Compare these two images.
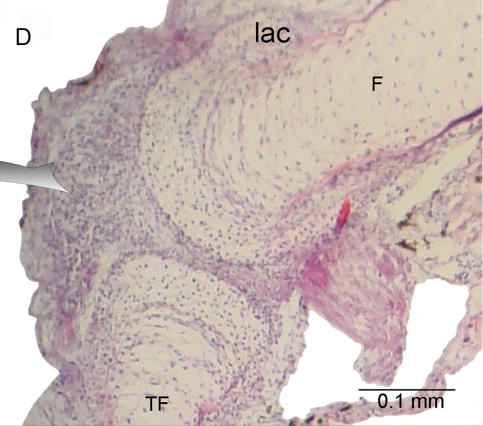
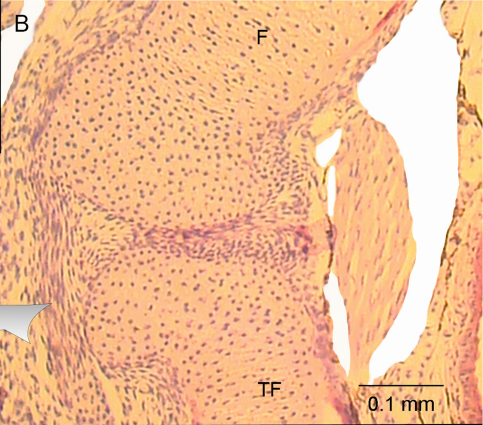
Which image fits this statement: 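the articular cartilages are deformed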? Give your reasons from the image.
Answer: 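Second image: the cartilage ends are smoothly rounded with evenly distributed cells.
Conclusion: the first image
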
